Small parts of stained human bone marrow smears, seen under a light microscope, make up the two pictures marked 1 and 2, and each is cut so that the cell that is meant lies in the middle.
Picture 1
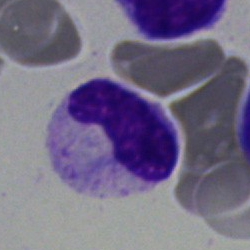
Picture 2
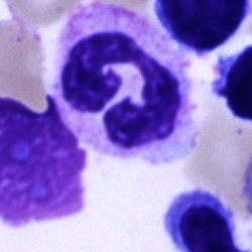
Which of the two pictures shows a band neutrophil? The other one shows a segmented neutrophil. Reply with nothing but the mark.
1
